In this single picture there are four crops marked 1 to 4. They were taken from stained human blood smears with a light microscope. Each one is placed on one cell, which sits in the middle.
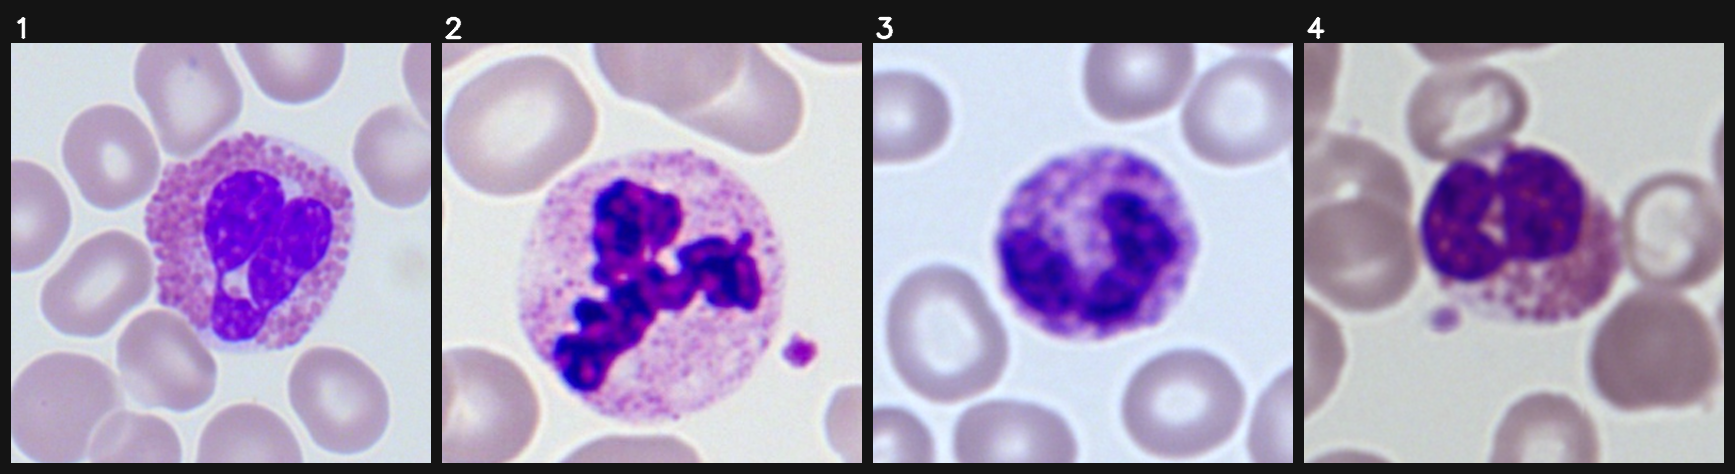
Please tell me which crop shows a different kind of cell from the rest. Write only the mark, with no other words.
2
